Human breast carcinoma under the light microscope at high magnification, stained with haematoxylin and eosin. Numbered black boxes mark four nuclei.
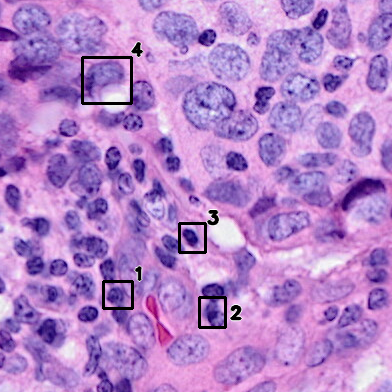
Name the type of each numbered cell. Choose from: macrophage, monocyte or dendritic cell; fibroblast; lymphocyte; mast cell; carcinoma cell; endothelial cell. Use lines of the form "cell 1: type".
cell 1: lymphocyte
cell 2: lymphocyte
cell 3: lymphocyte
cell 4: carcinoma cell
